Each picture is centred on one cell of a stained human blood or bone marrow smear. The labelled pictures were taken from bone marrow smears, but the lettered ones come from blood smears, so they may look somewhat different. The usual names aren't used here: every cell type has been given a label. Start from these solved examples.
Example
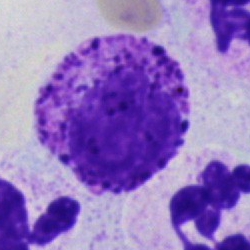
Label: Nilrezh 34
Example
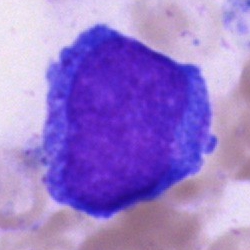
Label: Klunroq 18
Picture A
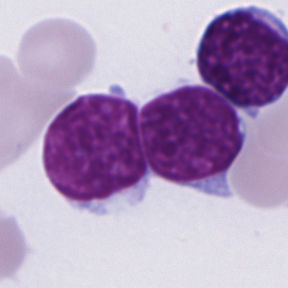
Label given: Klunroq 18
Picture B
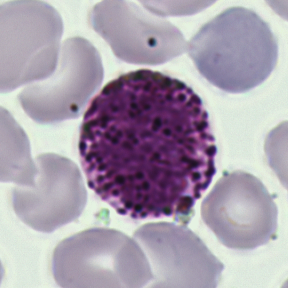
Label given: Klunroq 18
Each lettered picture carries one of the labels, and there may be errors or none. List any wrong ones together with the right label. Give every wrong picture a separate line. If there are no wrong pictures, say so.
B: change Klunroq 18 to Nilrezh 34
